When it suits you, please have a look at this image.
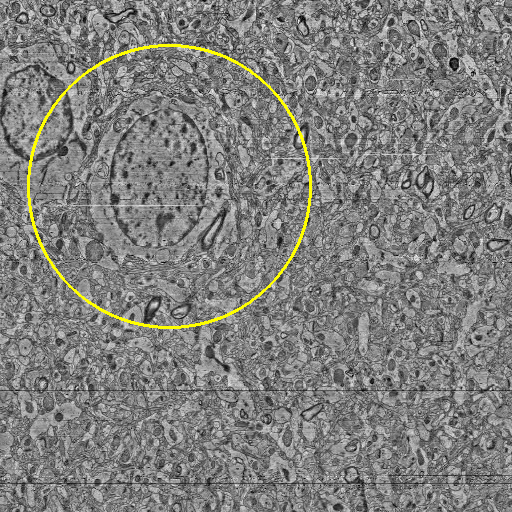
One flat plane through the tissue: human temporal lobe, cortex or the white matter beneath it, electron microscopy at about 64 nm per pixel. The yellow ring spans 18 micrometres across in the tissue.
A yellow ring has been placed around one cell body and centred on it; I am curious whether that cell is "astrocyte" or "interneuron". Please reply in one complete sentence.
The ringed cell, an astrocyte, has its body at the centre of the yellow ring.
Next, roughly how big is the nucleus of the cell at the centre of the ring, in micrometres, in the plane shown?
The nucleus works out at approximately 9 by 6 micrometres in this plane.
